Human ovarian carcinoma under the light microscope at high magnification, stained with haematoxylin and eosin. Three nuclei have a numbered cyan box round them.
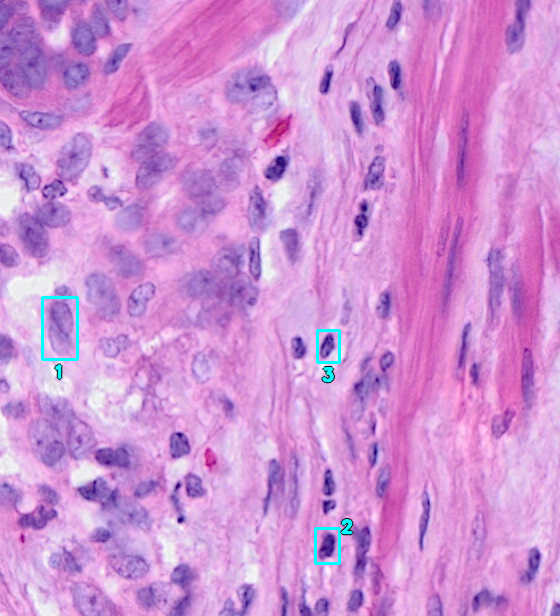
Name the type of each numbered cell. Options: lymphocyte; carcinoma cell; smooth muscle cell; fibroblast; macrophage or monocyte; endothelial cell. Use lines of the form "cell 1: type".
cell 1: fibroblast
cell 2: lymphocyte
cell 3: lymphocyte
